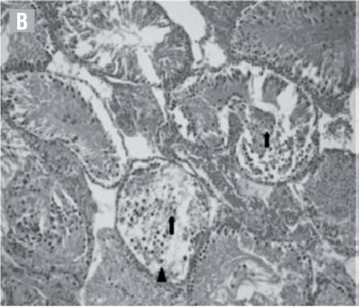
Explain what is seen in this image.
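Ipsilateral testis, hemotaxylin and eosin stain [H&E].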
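Seminiferous tubules here have lost their orderly layered lining: the epithelium is thin and broken, and the lumens are pale and filled with loosely scattered dark-nucleated germ cells. The tubule outlines are irregular with wider interstitial spaces, pointing to a disrupted germinal epithelium with germ cells shed into the lumen.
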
